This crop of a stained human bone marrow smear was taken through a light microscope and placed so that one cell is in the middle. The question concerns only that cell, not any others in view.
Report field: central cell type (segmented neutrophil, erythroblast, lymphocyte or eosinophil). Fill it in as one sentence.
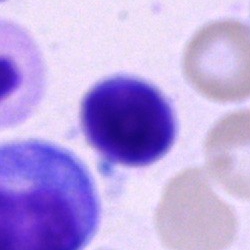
Regarding the central cell, it is a lymphocyte.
